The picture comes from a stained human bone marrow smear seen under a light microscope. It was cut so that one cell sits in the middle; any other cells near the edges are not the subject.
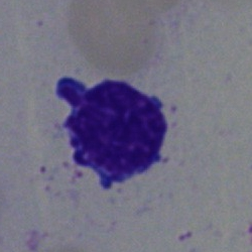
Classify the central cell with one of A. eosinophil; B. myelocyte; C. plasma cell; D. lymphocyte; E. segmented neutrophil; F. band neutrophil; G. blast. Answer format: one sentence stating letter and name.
Given that the cell in the middle is a lymphocyte, option D is correct.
